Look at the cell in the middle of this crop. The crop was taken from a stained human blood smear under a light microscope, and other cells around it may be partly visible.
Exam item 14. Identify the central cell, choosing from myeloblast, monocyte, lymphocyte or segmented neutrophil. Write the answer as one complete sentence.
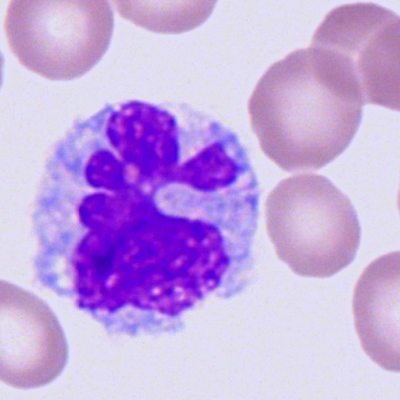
In the crop, the cell of interest at the centre is a monocyte.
